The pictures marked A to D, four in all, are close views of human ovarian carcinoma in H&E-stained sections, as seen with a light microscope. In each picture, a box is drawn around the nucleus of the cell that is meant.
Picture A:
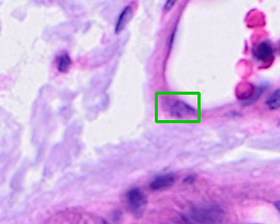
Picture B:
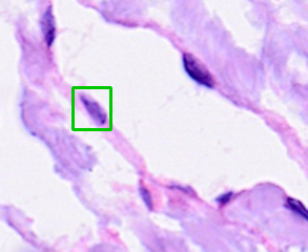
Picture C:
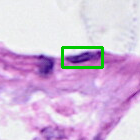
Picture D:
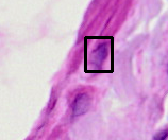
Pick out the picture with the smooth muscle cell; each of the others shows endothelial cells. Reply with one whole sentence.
The smooth muscle cell is the one in picture D.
